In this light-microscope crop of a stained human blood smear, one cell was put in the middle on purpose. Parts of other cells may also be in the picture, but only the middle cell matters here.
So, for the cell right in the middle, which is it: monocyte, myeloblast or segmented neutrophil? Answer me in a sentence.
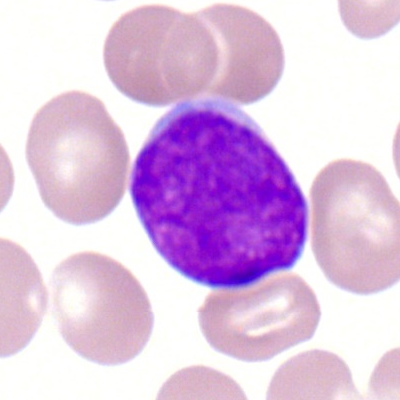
This crop has a myeloblast at its centre.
